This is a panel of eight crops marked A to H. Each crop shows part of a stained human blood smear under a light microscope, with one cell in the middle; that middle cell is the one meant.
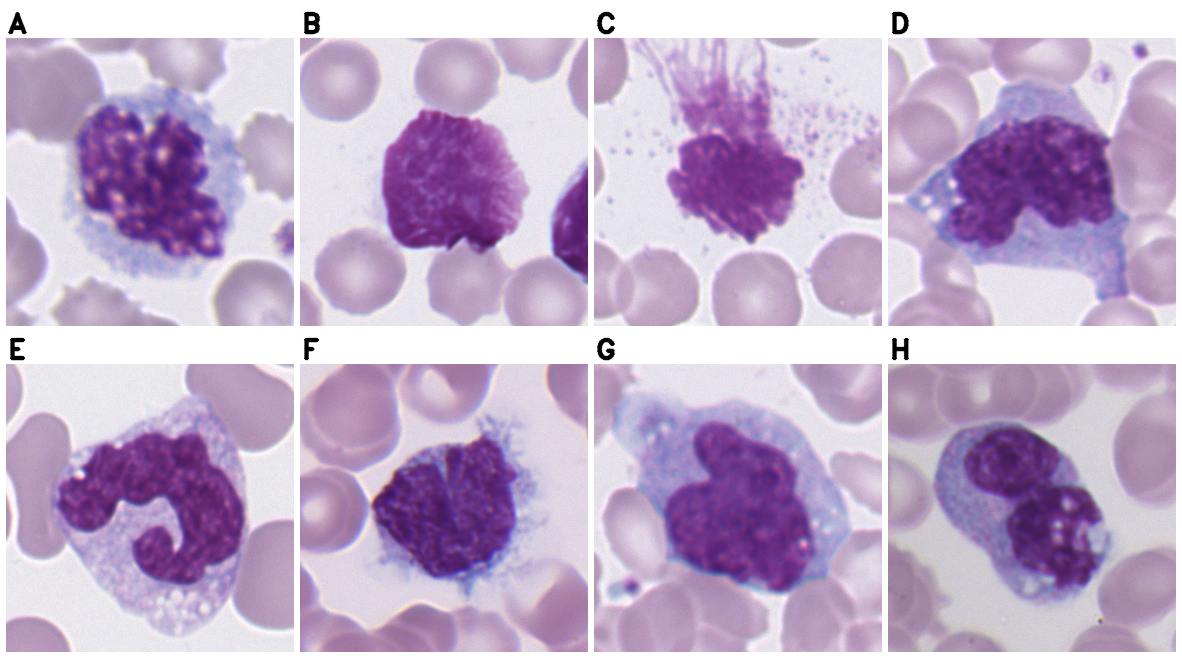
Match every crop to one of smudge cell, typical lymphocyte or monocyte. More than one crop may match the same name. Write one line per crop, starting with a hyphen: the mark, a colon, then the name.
- A: monocyte
- B: smudge cell
- C: smudge cell
- D: monocyte
- E: monocyte
- F: monocyte
- G: monocyte
- H: monocyte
